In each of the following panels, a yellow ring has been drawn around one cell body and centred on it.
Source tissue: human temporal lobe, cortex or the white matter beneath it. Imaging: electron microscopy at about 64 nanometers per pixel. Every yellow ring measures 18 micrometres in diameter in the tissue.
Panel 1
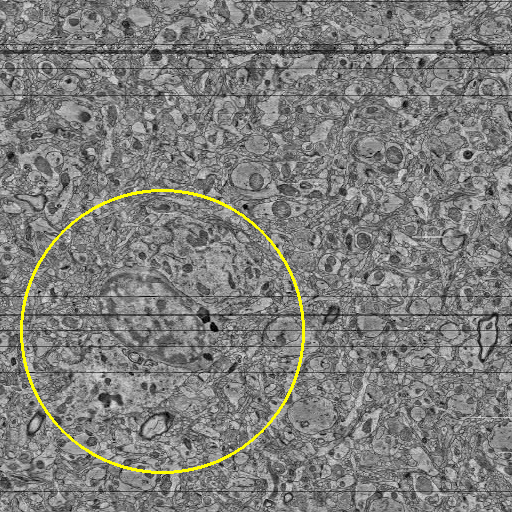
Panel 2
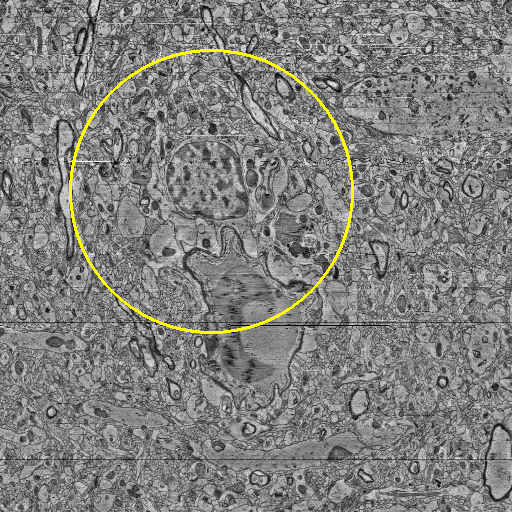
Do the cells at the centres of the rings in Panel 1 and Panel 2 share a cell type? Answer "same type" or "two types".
two types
